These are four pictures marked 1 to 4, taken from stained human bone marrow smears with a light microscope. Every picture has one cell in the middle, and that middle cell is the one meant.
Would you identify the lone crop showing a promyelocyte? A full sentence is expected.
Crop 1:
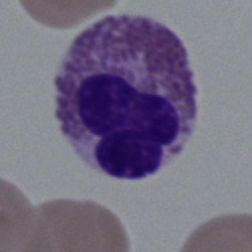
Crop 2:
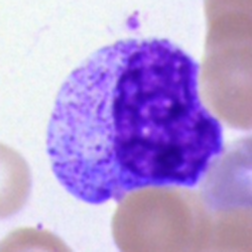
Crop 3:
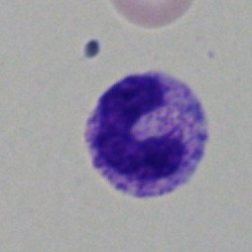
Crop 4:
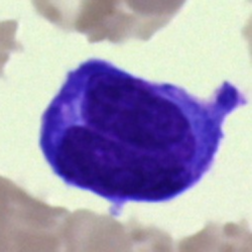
Crop 2 represents a promyelocyte, while the other crops do not.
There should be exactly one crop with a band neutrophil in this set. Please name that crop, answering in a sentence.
The crop in which a band neutrophil is shown is crop 3.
